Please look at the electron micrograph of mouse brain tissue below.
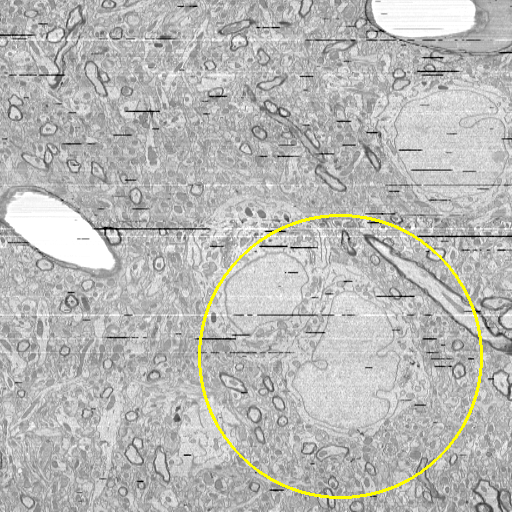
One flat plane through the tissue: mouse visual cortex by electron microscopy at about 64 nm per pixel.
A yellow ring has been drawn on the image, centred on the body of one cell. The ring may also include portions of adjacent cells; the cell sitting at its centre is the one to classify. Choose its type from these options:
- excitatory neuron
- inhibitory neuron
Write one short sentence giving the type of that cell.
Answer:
The cell in the middle of the ring is an inhibitory neuron.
